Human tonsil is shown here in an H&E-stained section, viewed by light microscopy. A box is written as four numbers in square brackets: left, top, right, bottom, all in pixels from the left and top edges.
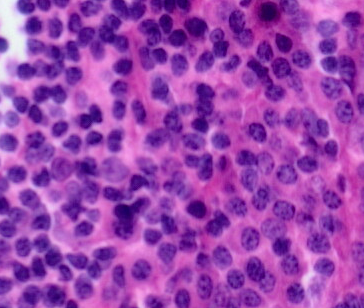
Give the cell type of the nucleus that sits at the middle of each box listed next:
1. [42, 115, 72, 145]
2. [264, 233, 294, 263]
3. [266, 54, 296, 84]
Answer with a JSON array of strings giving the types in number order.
["small lymphocyte", "plasma cell", "plasma cell"]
